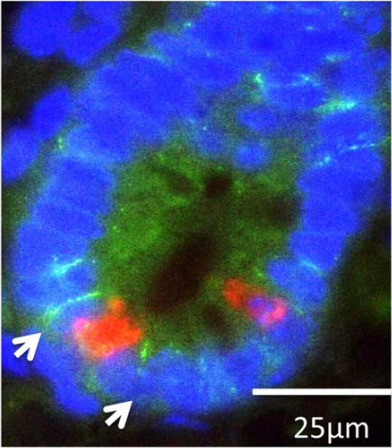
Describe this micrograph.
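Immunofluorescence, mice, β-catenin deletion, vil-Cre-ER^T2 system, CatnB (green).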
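This is a crypt of intestinal epithelium cut across, with Paneth cells among the lining cells. Blue-stained nuclei of the epithelial cells are set in a ring around a central lumen, which holds a diffuse green haze with a dark centre. At the bottom of the ring a few cells carry bright red granular cytoplasm facing the lumen. Thin green lines run between neighbouring cells along their borders.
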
